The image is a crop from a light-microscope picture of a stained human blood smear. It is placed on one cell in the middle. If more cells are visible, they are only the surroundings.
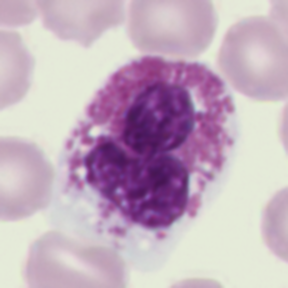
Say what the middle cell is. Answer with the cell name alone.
eosinophil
